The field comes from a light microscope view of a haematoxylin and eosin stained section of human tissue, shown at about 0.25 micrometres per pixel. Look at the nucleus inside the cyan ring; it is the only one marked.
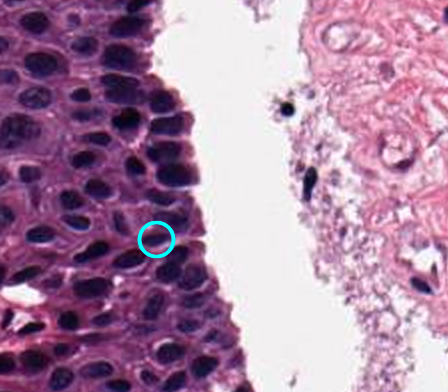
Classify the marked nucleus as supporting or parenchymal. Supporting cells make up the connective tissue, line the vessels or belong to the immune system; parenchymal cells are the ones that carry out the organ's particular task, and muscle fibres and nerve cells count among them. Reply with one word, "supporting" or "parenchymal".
parenchymal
